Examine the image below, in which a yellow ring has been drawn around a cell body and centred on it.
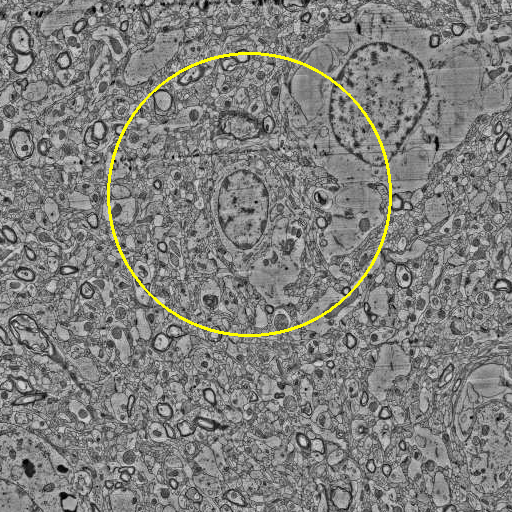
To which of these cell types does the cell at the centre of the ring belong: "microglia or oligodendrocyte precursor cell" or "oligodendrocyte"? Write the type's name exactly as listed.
microglia or oligodendrocyte precursor cell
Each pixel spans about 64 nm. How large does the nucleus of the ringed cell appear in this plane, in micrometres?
Roughly 5 by 3 micrometres in this plane, for the nucleus of the ringed cell.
